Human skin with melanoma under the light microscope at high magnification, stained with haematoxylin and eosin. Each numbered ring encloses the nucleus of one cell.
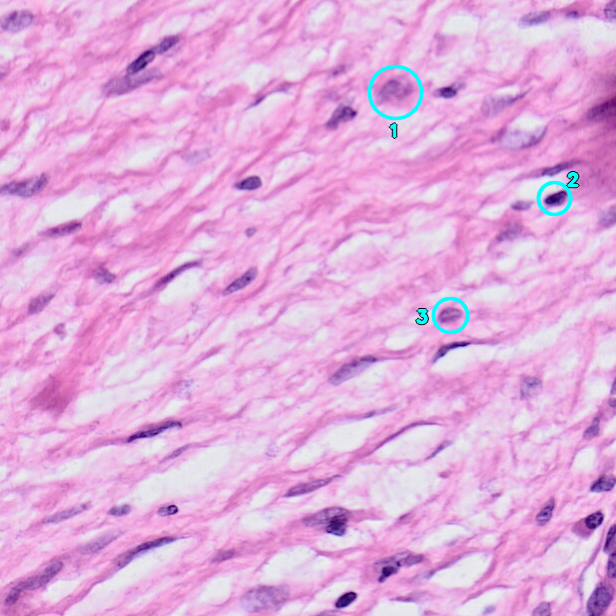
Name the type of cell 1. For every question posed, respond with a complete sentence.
The cell to which the number 1 is assigned is a fibroblast or myofibroblast.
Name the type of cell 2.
The cell identified by the number 2 is a lymphocyte.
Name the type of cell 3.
The cell identified by the number 3 is a macrophage or monocyte.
